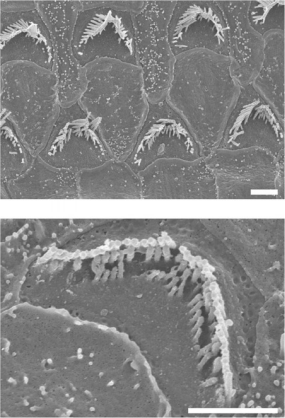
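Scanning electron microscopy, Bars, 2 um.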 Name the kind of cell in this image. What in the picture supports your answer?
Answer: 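Outer hair cells. Apical surfaces of cells in rows, each bearing a V- or W-shaped bundle of rod-like projections. The close-up shows one bundle of projections in graded rows.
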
